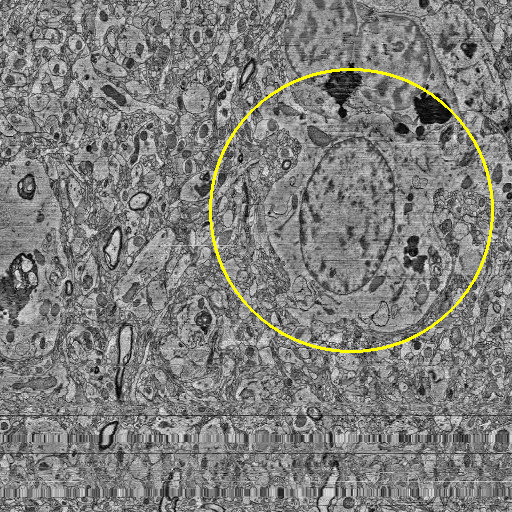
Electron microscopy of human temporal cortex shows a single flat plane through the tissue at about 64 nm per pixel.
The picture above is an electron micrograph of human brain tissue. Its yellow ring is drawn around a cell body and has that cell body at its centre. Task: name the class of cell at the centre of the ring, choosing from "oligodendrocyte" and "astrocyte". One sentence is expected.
The ring surrounds the body of an astrocyte.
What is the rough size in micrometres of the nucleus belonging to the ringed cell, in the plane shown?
In this plane, about 10 by 6 micrometres: the nucleus is clearly longer than it is wide.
